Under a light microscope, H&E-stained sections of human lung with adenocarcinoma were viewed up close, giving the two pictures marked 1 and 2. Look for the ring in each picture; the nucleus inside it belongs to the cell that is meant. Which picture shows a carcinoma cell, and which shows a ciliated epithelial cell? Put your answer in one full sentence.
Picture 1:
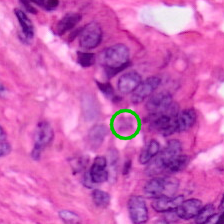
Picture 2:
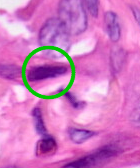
The cell in picture 1 is a ciliated epithelial cell, and the one in picture 2 is a carcinoma cell.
